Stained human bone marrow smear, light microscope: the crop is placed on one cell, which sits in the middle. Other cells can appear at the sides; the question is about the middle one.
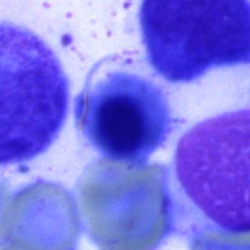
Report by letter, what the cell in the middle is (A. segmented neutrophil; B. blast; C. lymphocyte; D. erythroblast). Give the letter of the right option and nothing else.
D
